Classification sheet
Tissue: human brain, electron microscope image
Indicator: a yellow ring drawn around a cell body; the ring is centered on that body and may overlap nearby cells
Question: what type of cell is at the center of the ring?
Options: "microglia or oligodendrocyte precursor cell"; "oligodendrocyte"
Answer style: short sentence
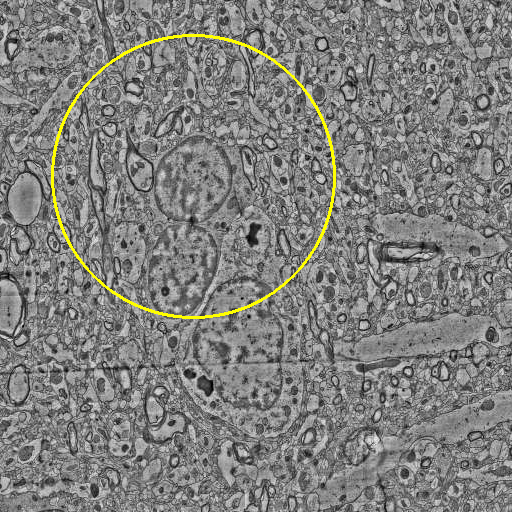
At the ring's center is an oligodendrocyte.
